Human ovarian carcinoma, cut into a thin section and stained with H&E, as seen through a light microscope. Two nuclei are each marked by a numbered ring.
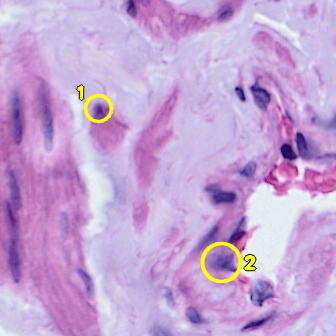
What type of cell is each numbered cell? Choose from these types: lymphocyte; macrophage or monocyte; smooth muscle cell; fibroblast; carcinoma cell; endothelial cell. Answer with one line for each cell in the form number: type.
1: smooth muscle cell
2: endothelial cell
